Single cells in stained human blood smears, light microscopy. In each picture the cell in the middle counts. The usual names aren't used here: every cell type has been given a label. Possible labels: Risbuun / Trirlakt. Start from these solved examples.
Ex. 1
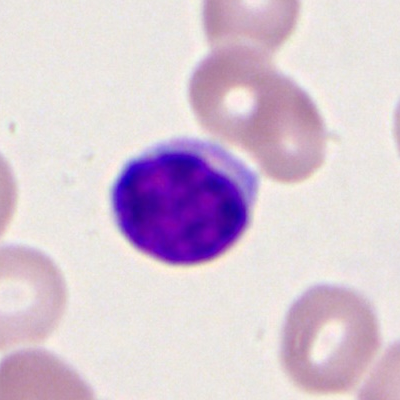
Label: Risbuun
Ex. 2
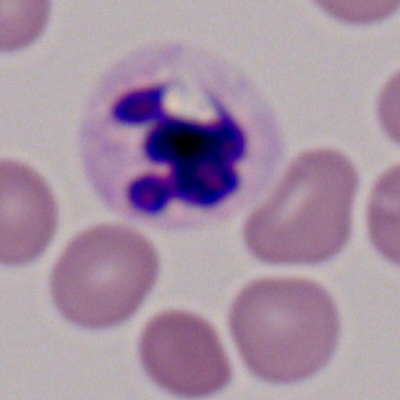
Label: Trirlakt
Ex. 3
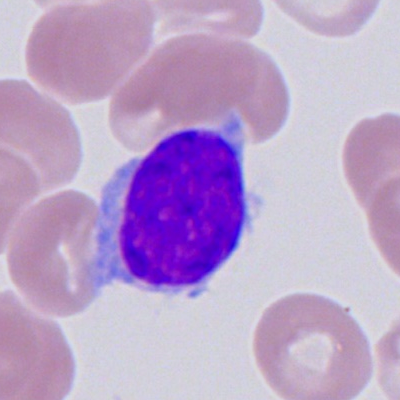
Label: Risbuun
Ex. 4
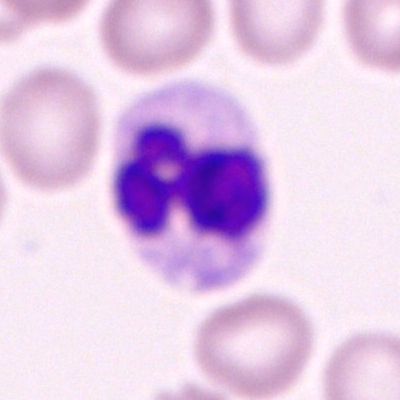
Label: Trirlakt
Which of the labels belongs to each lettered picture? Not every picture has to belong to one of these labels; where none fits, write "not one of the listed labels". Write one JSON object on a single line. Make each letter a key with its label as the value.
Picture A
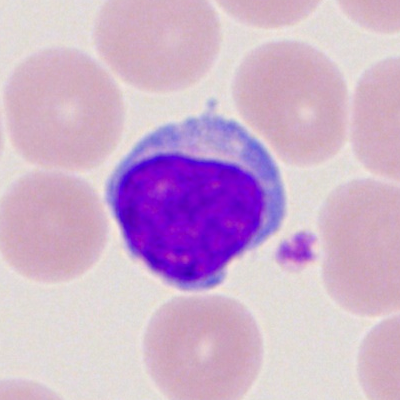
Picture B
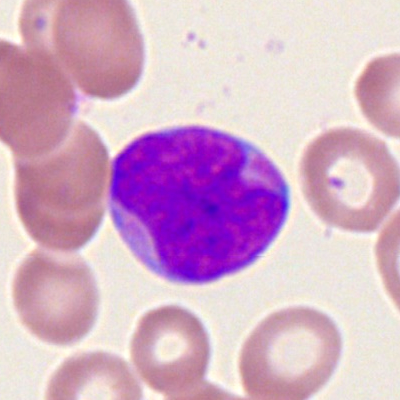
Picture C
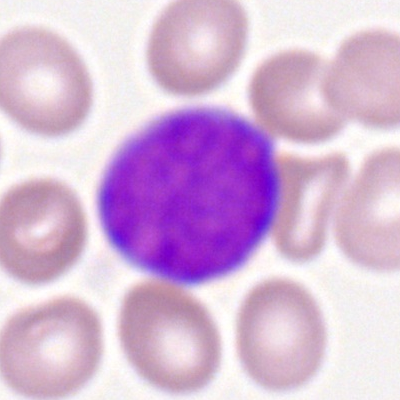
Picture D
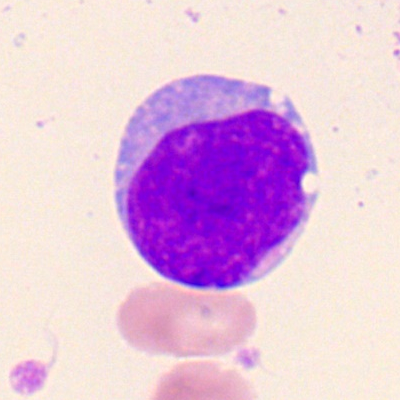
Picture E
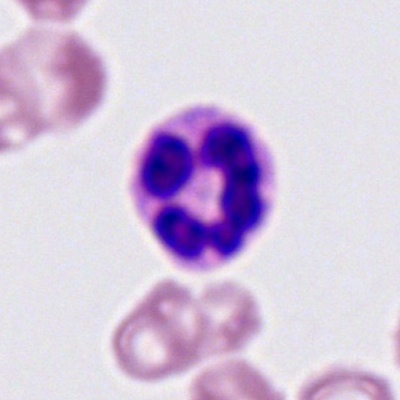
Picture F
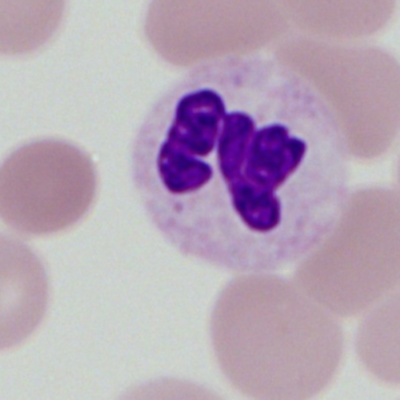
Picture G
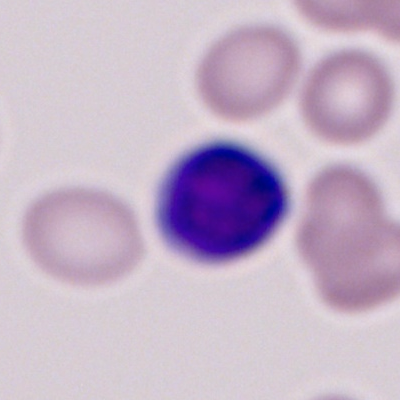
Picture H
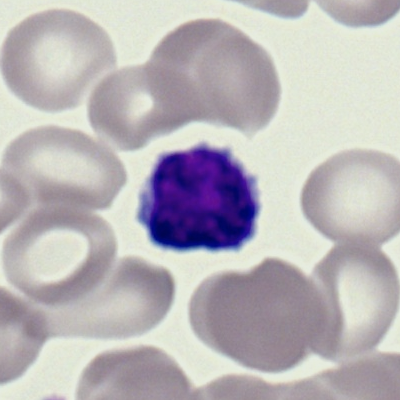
{"A": "Risbuun", "B": "not one of the listed labels", "C": "not one of the listed labels", "D": "not one of the listed labels", "E": "Trirlakt", "F": "Trirlakt", "G": "Risbuun", "H": "Risbuun"}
